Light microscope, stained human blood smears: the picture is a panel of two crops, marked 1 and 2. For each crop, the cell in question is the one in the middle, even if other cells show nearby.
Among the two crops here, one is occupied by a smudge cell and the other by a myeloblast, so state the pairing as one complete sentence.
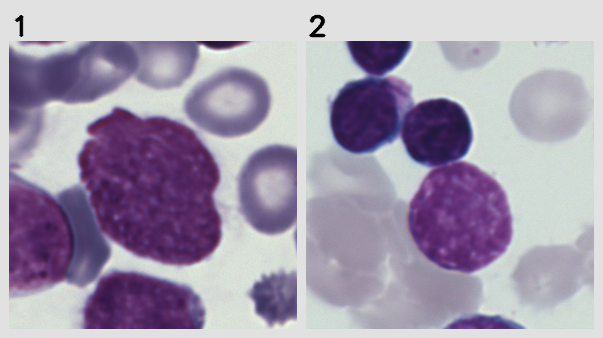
The cell at the centre of crop 1 is a smudge cell, and at the centre of crop 2, a myeloblast.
